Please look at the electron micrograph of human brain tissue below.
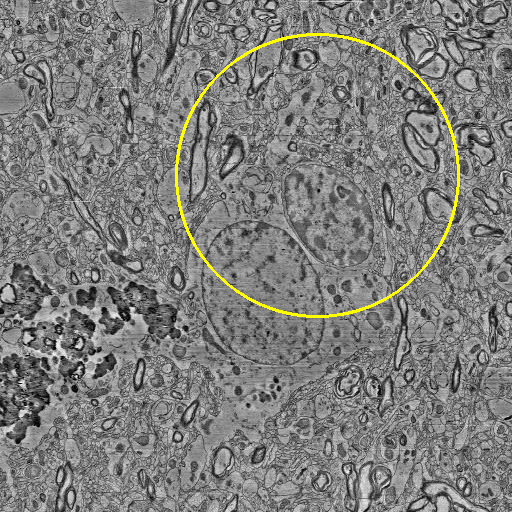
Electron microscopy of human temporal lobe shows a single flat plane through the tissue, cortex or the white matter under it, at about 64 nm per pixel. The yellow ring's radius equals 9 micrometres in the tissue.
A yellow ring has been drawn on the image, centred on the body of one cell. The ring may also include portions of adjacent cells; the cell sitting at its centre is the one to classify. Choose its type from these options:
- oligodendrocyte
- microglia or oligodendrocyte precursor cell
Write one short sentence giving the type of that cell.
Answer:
The cell in the middle of the ring is an oligodendrocyte.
